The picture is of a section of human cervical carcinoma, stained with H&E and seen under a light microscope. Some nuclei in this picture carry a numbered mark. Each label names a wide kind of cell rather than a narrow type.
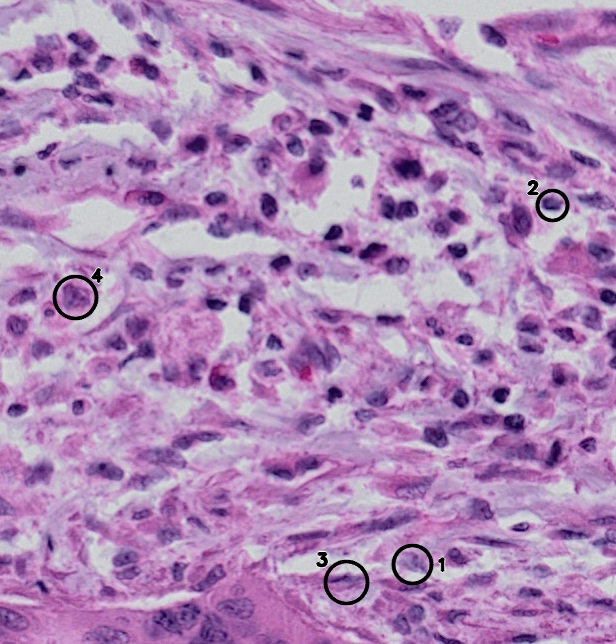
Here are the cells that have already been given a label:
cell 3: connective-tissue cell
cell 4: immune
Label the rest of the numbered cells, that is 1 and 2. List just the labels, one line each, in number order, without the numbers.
connective-tissue cell
immune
